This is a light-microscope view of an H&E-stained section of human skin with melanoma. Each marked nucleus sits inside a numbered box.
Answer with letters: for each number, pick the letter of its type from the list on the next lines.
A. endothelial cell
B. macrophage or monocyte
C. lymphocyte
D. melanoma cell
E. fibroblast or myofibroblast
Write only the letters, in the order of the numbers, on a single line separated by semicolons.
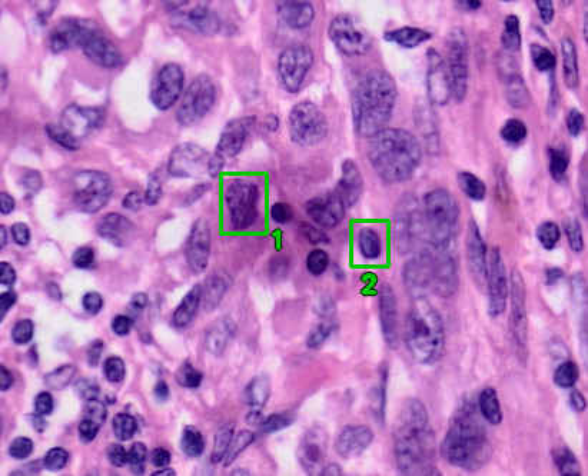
D; C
